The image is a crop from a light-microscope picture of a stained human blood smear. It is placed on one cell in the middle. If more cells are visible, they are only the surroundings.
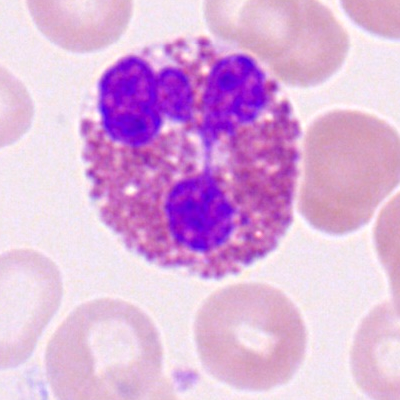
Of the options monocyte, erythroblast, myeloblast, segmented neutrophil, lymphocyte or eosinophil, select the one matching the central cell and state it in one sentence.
This crop is built around an eosinophil at its centre.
